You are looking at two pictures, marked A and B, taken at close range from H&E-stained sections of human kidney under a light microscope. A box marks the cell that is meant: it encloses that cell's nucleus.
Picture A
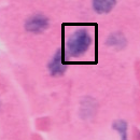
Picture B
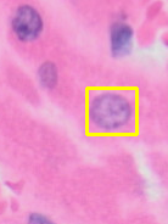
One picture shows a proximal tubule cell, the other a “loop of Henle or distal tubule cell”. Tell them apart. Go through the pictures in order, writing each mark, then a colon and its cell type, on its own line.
A: loop of Henle or distal tubule cell
B: proximal tubule cell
